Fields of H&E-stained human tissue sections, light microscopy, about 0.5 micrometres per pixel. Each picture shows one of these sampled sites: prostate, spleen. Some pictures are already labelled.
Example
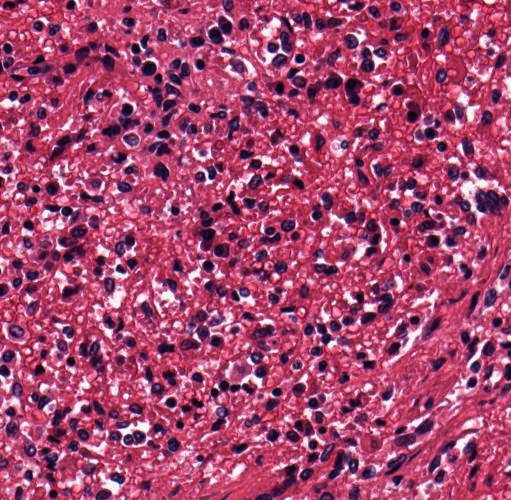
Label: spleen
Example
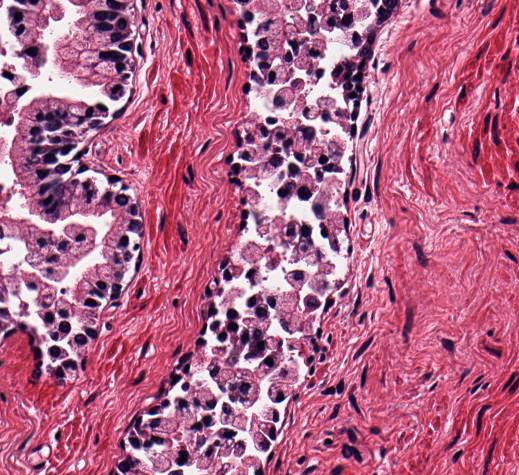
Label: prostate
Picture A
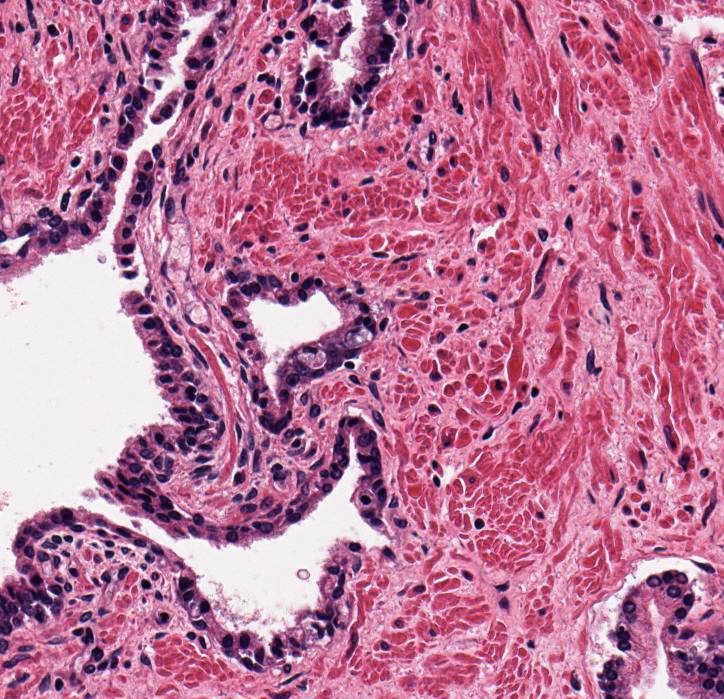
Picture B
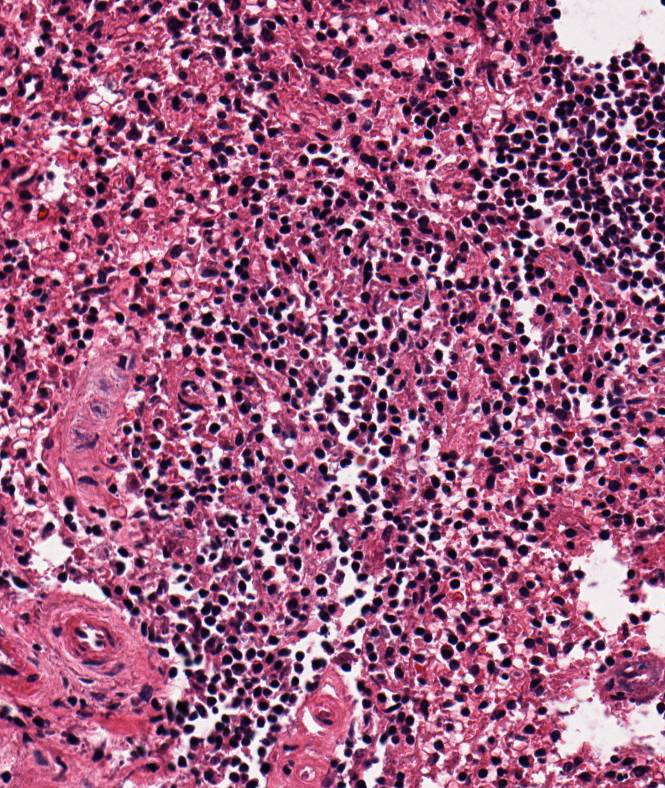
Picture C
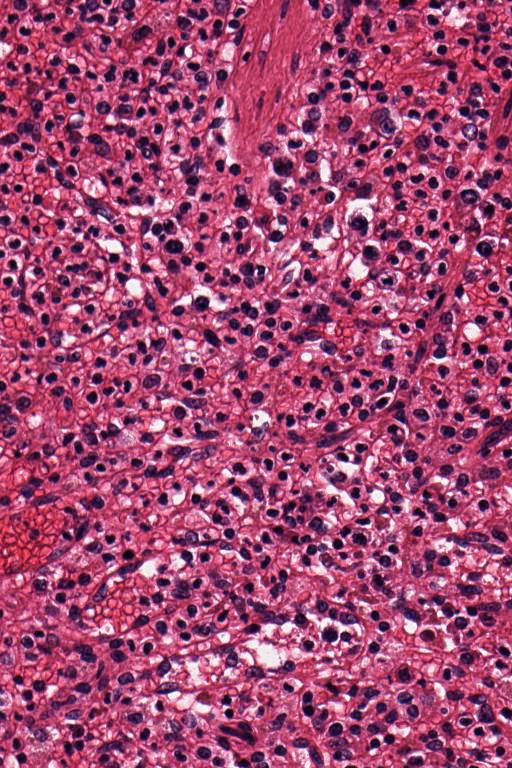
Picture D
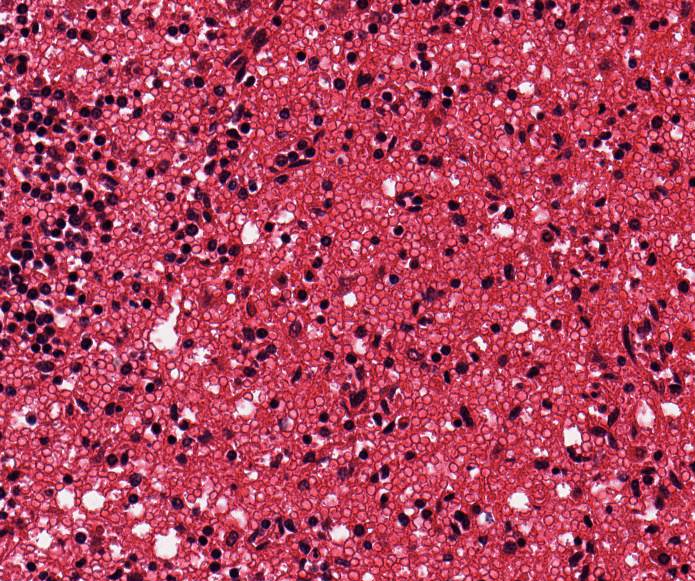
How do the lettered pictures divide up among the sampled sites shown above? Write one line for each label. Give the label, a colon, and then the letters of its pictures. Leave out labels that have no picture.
prostate: A
spleen: B, C, D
